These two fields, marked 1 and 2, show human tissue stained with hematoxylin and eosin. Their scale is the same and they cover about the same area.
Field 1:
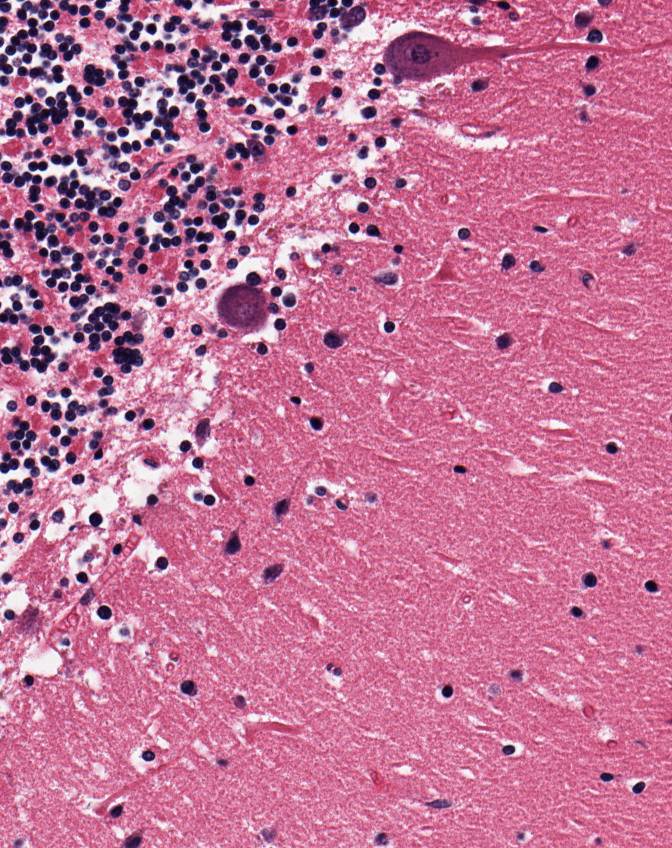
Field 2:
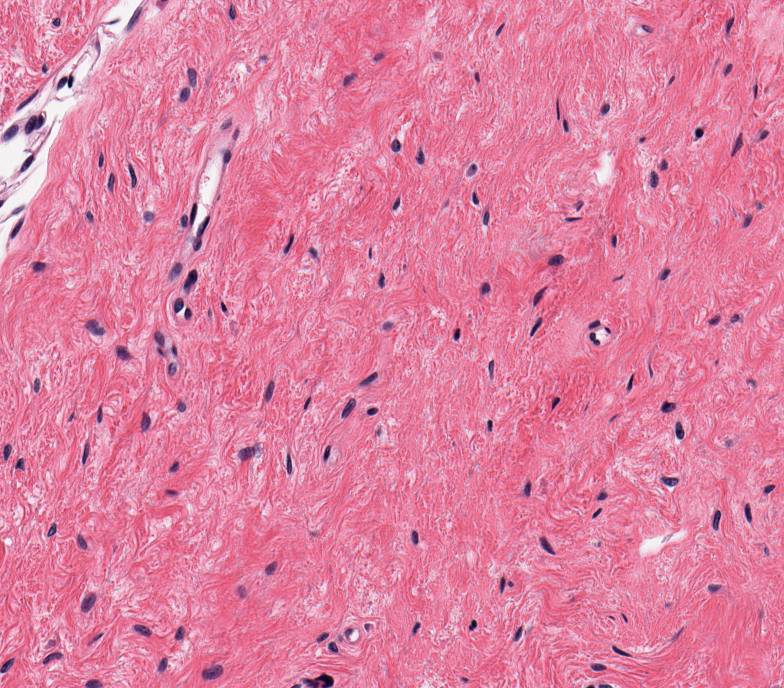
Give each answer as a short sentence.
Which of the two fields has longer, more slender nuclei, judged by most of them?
It is field 2 whose nuclei are the more elongated.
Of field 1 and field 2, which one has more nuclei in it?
More nuclei lie in field 1 than in field 2.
